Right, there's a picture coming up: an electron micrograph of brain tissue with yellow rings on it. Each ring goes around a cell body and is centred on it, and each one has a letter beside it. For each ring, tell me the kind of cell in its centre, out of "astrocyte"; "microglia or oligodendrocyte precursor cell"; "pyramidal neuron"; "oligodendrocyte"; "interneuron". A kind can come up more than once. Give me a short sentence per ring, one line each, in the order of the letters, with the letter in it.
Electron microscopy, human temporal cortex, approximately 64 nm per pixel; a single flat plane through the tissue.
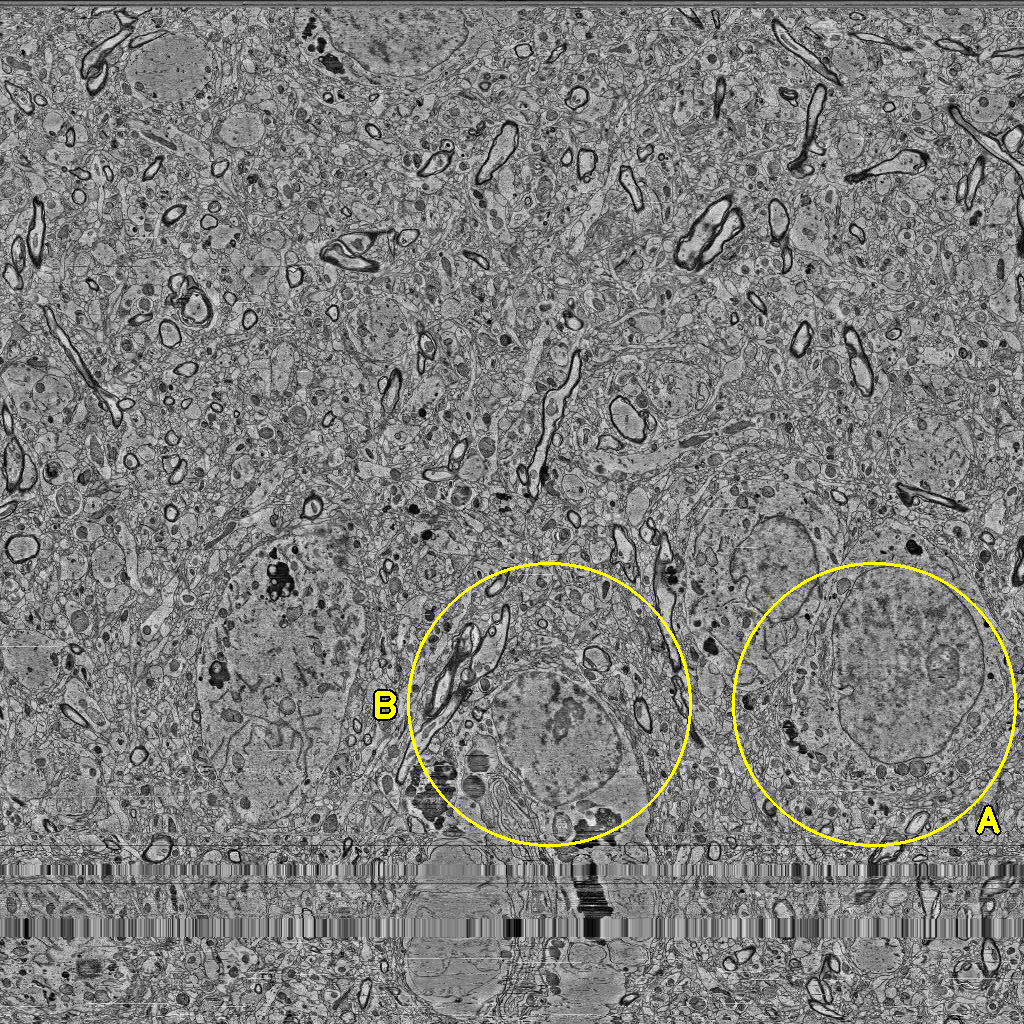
That's a pyramidal neuron in ring A.
That's an astrocyte in ring B.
